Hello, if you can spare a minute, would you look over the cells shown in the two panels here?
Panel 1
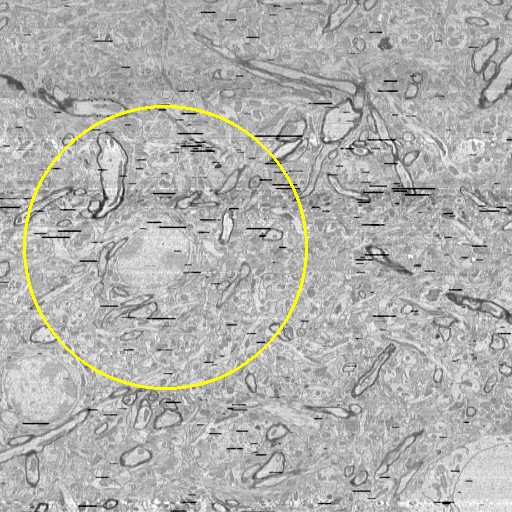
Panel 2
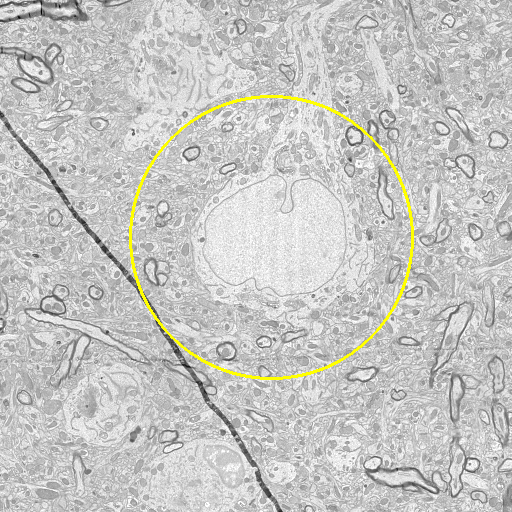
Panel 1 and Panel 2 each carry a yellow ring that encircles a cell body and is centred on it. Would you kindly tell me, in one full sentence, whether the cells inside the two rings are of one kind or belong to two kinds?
The cells at the centres of the rings in Panel 1 and Panel 2 belong to two kinds.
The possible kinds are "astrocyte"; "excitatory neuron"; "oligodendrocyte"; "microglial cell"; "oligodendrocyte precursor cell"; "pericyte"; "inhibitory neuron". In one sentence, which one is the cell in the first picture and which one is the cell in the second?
The cell ringed in the second picture is an excitatory neuron, whereas the one ringed in the first is an astrocyte.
